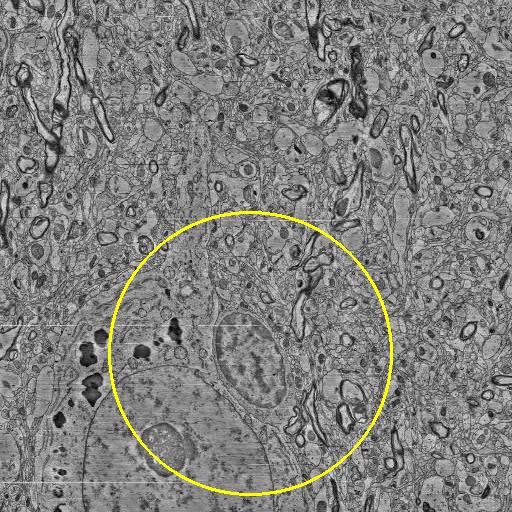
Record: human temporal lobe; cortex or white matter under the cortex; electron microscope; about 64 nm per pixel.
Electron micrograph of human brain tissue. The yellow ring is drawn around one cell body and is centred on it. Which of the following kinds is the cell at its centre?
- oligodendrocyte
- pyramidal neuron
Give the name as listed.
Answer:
oligodendrocyte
